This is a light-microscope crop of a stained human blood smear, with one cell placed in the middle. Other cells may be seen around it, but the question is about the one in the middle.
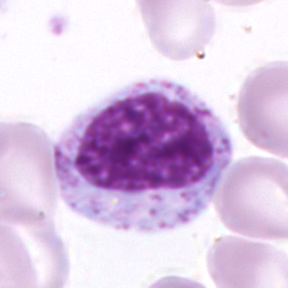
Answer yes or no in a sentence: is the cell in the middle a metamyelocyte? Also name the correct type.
Yes, in the middle of the crop is a metamyelocyte.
